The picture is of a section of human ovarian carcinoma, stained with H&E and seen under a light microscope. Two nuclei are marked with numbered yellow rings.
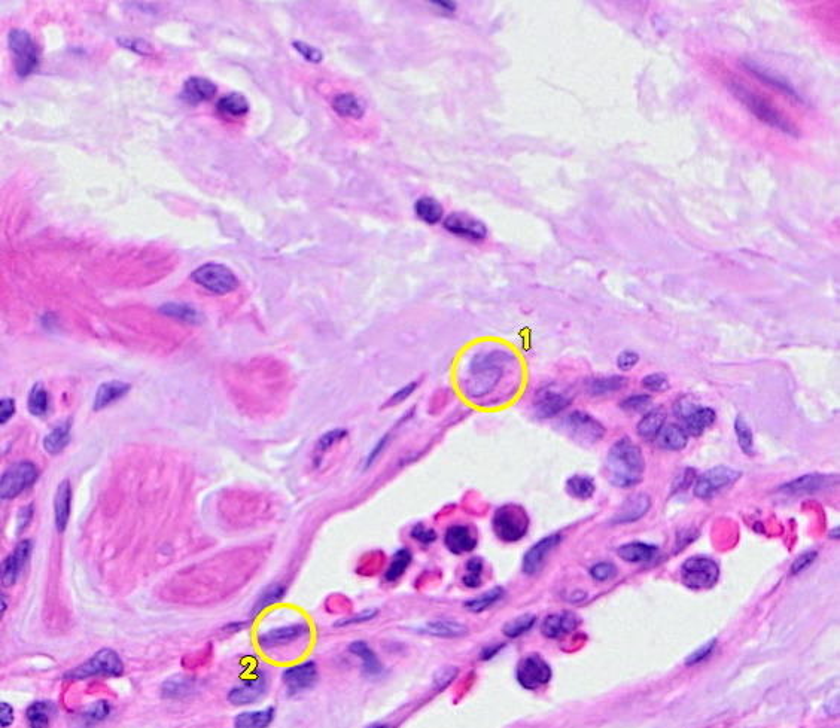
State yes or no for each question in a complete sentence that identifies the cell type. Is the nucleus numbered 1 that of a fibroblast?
Yes, that is right: the cell labelled 1 is a fibroblast.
